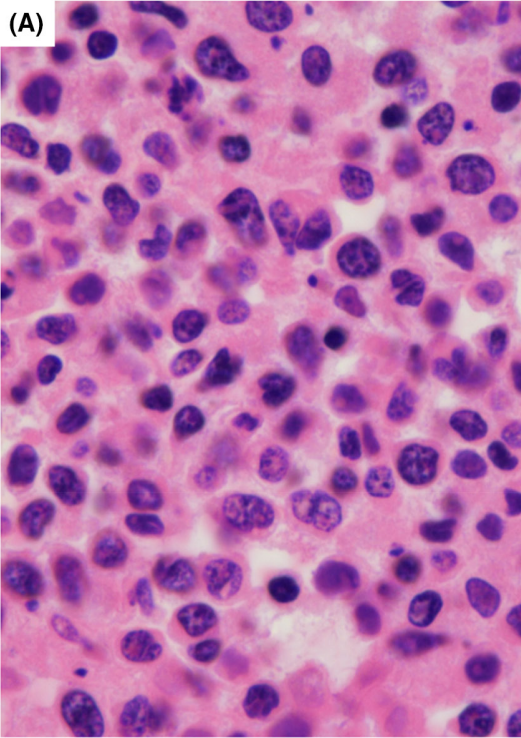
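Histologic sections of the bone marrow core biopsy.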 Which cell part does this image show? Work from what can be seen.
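Several vesicular nuclei contain distinct dark nucleoli.
Answer: prominent nucleoli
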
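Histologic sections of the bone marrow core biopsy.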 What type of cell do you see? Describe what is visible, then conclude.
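Atypical mononuclear cells. Sheets of cells each with a single nucleus. Nuclei are large, irregular and vary in shape and size. No normal marrow architecture such as fat or mixed maturing lineages is seen.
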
